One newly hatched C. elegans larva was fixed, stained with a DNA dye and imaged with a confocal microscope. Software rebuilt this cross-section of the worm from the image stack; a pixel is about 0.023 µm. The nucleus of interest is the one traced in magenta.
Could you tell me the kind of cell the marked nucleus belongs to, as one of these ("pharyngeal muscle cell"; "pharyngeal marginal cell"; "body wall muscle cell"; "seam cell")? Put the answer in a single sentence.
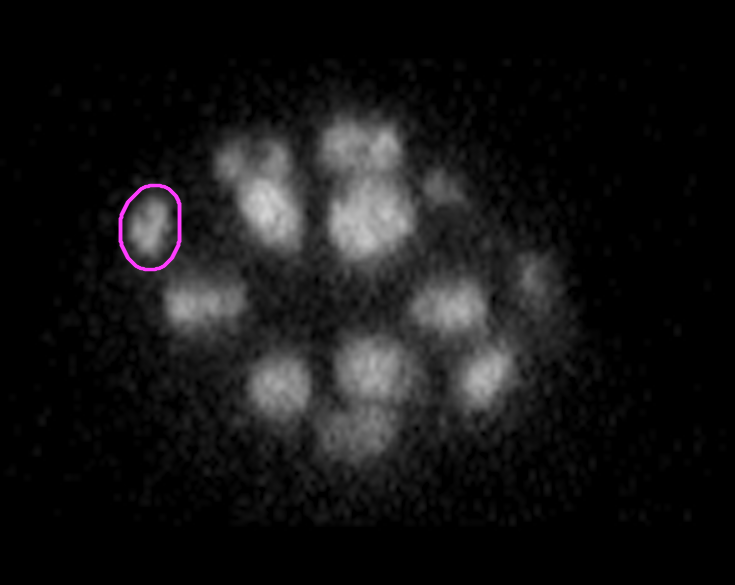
It is the nucleus of a body wall muscle cell.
